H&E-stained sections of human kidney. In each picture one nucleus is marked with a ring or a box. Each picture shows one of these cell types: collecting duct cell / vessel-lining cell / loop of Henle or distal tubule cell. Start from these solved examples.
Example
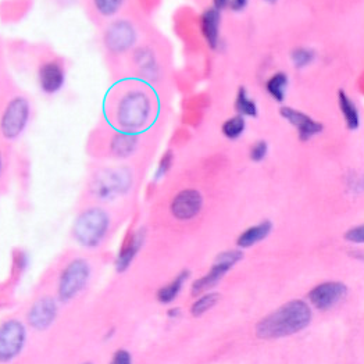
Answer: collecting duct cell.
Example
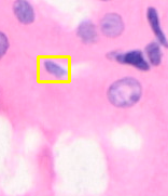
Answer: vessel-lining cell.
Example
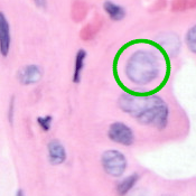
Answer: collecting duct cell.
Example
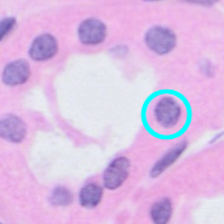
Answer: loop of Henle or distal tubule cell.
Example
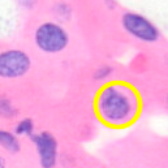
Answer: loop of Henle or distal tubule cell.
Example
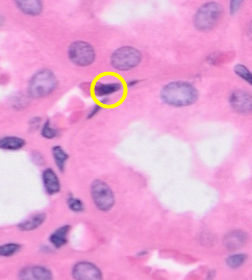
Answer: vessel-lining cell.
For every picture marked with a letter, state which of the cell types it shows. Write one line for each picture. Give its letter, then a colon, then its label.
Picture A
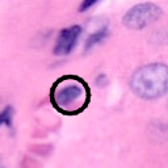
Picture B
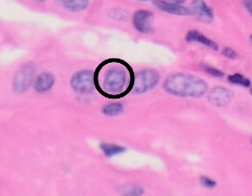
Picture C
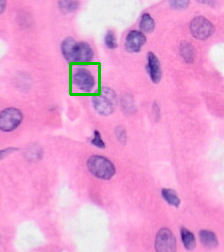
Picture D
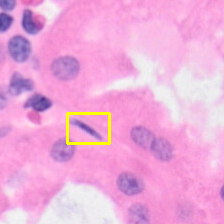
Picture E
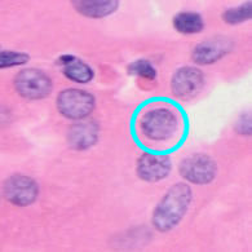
A: vessel-lining cell.
B: collecting duct cell.
C: collecting duct cell.
D: vessel-lining cell.
E: collecting duct cell.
